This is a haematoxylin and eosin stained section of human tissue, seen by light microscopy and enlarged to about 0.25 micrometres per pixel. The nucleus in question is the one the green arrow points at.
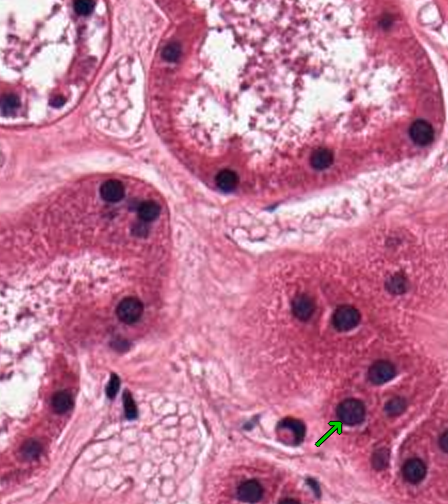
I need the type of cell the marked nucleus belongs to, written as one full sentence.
The marked nucleus forms part of a proximal tubule cell.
